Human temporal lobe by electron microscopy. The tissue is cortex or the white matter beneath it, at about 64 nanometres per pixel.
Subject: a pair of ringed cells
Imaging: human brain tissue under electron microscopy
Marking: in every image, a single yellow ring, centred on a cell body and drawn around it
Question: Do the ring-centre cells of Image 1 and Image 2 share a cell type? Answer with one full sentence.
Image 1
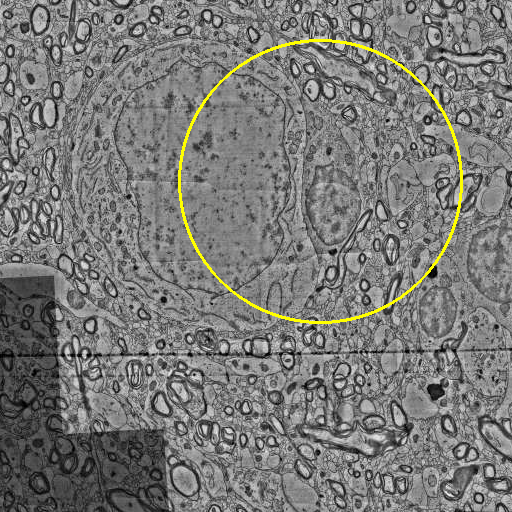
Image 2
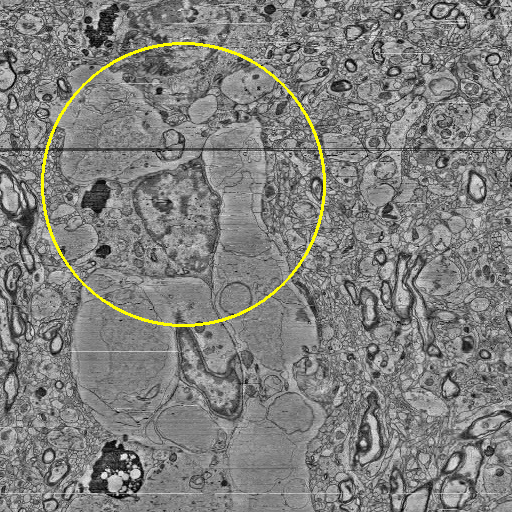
Yes, at each ring's centre in the images sits a cell of one common type.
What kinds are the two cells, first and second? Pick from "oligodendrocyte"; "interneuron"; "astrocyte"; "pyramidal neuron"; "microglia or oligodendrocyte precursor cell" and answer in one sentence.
Both the first and the second picture show an oligodendrocyte in the ring.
